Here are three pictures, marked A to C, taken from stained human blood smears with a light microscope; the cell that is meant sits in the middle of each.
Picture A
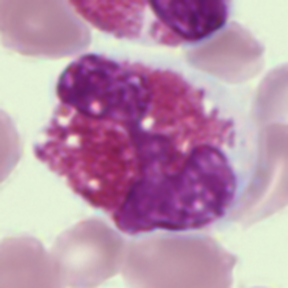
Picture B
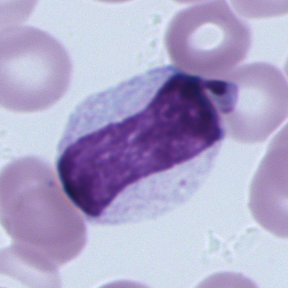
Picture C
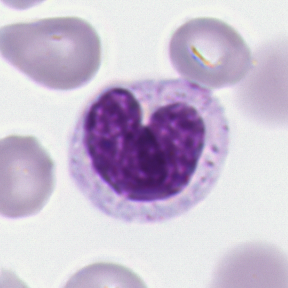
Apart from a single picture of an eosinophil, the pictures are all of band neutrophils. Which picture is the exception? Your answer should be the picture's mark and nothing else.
A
